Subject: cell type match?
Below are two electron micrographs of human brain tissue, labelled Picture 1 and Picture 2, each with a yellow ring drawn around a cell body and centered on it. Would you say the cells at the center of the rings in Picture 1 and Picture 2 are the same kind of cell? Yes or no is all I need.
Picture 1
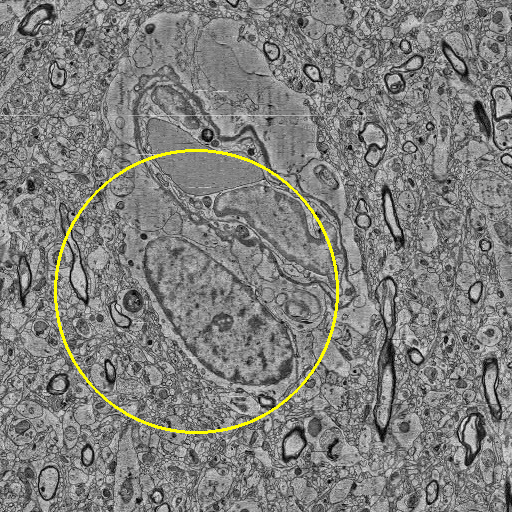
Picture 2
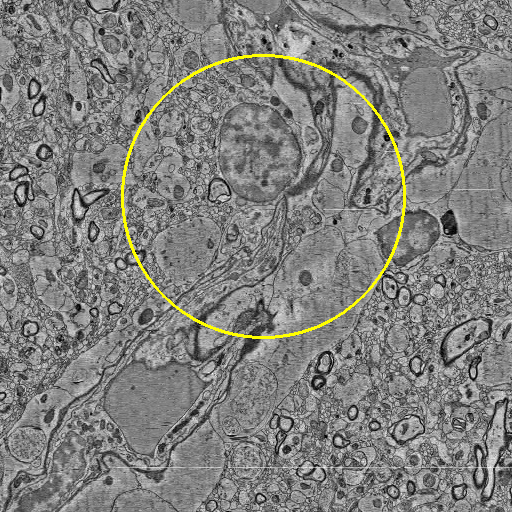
no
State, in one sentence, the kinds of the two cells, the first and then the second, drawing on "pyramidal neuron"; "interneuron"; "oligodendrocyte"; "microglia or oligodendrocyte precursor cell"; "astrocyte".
The ring in the second picture is centred on an oligodendrocyte, the ring in the first on a microglial cell or oligodendrocyte precursor cell.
